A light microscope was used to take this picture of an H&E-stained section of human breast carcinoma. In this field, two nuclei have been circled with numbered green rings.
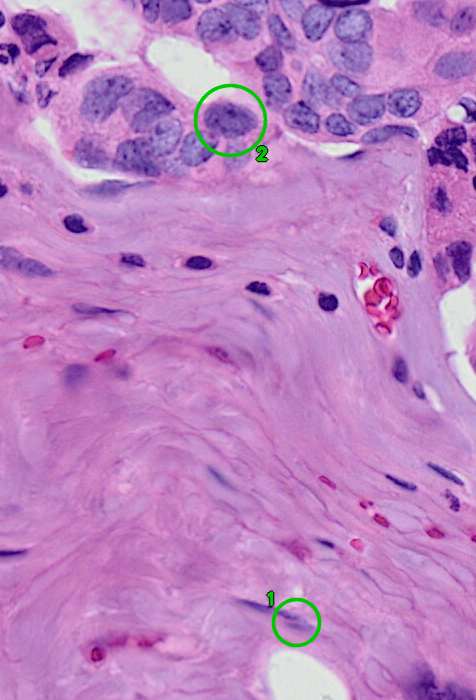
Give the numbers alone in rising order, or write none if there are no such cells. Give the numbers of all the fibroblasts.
1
